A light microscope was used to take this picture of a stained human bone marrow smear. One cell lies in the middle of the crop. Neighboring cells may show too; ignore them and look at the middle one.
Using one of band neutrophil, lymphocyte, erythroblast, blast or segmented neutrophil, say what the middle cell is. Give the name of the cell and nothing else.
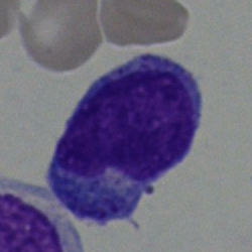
blast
